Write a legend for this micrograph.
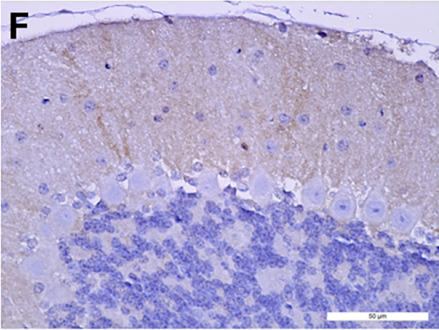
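Cerebellar cortex in three layers. At top, beneath a thin pial surface, the molecular layer is wide and pale brown, with faint radial streaks and few scattered small nuclei. Along its lower border runs a single row of large rounded neuron bodies with pale cytoplasm and pale nuclei. Below, the granular layer is packed with small dark blue round nuclei separated by small pale islands. Brown stain is mostly diffuse in the molecular layer; the granular layer appears largely blue.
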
